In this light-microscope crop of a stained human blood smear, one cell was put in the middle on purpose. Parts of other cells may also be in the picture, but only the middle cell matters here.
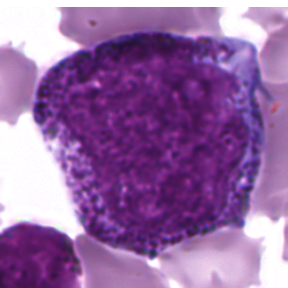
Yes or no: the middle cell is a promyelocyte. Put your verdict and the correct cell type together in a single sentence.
Yes, the middle cell of the field is a promyelocyte.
